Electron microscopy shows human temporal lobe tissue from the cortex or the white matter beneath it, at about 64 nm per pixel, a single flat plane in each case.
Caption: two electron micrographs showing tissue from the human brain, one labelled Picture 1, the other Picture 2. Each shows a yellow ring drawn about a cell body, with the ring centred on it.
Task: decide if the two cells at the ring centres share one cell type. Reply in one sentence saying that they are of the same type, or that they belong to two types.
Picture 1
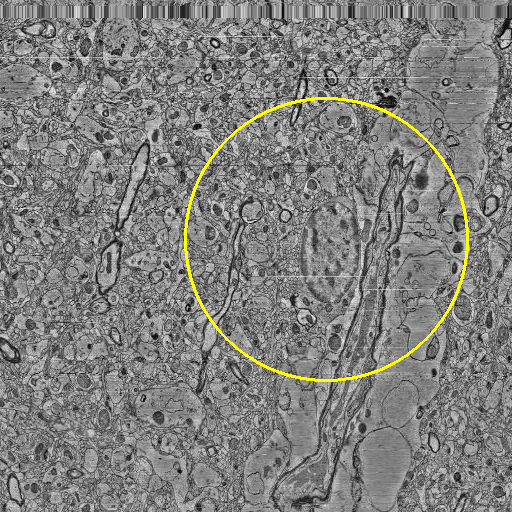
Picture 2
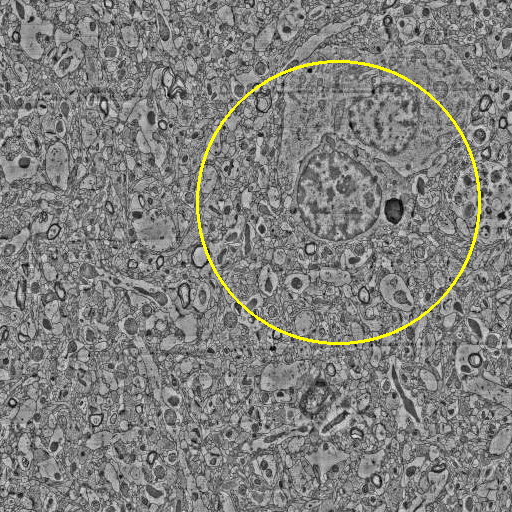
The cells at the ring centres in Picture 1 and Picture 2 are of the same type.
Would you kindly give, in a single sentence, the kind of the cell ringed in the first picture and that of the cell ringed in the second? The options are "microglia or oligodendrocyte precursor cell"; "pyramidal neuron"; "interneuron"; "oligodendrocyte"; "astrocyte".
Both rings mark an oligodendrocyte, one in each picture.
